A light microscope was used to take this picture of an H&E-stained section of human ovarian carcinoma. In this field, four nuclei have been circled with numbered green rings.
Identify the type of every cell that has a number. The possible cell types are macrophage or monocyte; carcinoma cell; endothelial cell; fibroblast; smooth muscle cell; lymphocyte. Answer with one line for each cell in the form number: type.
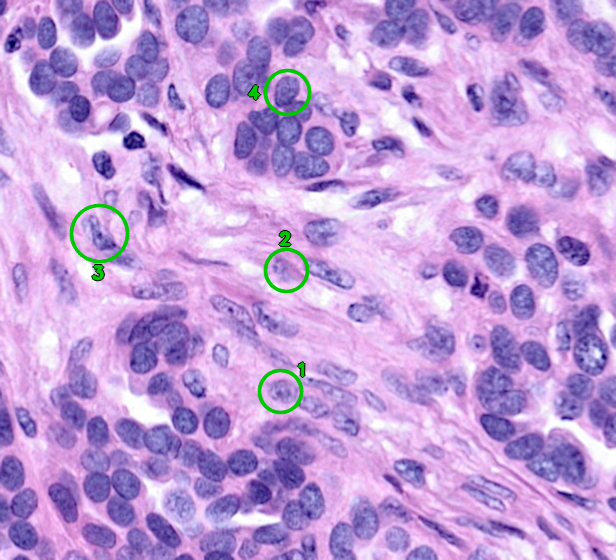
1: fibroblast
2: fibroblast
3: fibroblast
4: carcinoma cell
